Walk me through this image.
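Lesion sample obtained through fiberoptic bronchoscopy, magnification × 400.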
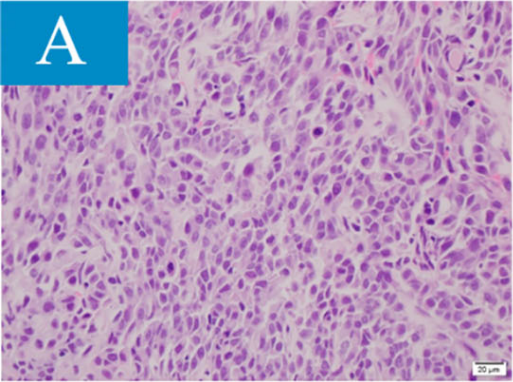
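Nuclei are oval to elongated, hyperchromatic and crowded, some overlapping, and vary clearly in size and shape; a few are markedly enlarged and very dark. No glands, lumens or keratin are formed. Thin pale stroma with a few pink fibres runs between groups of cells.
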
